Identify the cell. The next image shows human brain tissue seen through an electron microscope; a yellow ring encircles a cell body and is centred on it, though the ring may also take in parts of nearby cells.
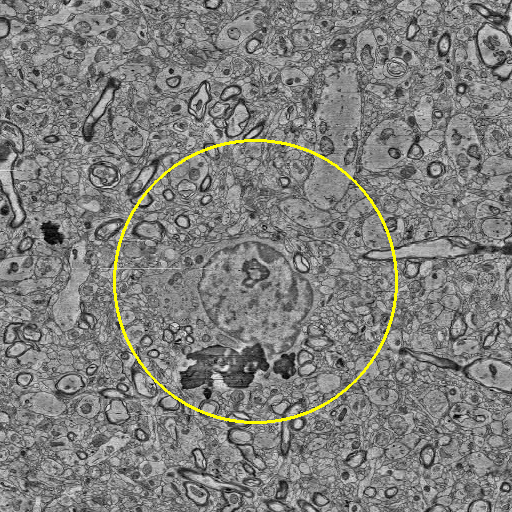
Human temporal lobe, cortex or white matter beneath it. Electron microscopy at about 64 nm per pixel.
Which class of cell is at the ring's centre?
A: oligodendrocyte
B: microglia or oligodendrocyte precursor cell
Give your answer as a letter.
A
